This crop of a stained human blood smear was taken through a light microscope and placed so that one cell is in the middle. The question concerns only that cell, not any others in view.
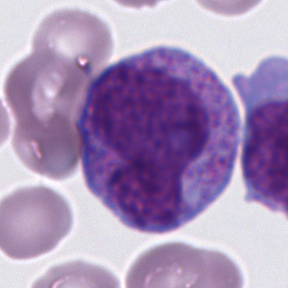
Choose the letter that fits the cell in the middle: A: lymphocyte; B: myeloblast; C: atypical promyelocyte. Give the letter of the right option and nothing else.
C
